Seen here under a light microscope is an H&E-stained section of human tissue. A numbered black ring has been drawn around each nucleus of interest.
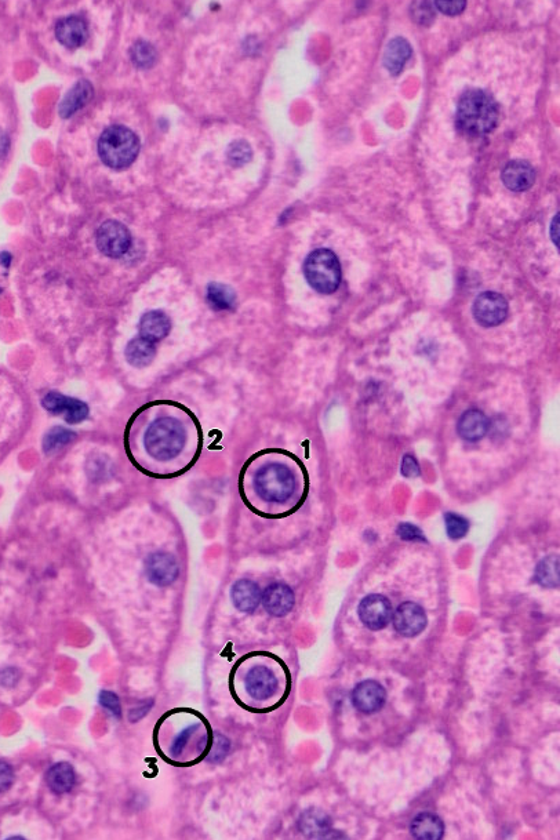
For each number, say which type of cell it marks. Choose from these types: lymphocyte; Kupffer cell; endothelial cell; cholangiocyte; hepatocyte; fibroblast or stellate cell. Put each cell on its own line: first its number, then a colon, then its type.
1: hepatocyte
2: hepatocyte
3: endothelial cell
4: hepatocyte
